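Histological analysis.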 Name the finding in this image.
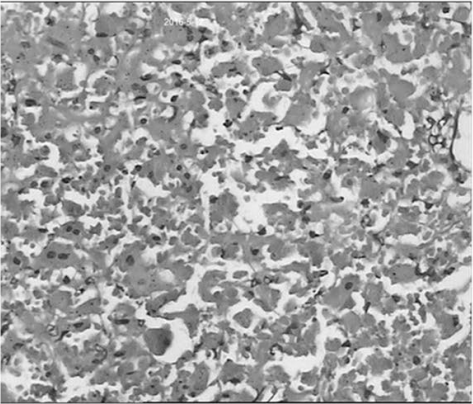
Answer: Necrosis of hepatocytes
